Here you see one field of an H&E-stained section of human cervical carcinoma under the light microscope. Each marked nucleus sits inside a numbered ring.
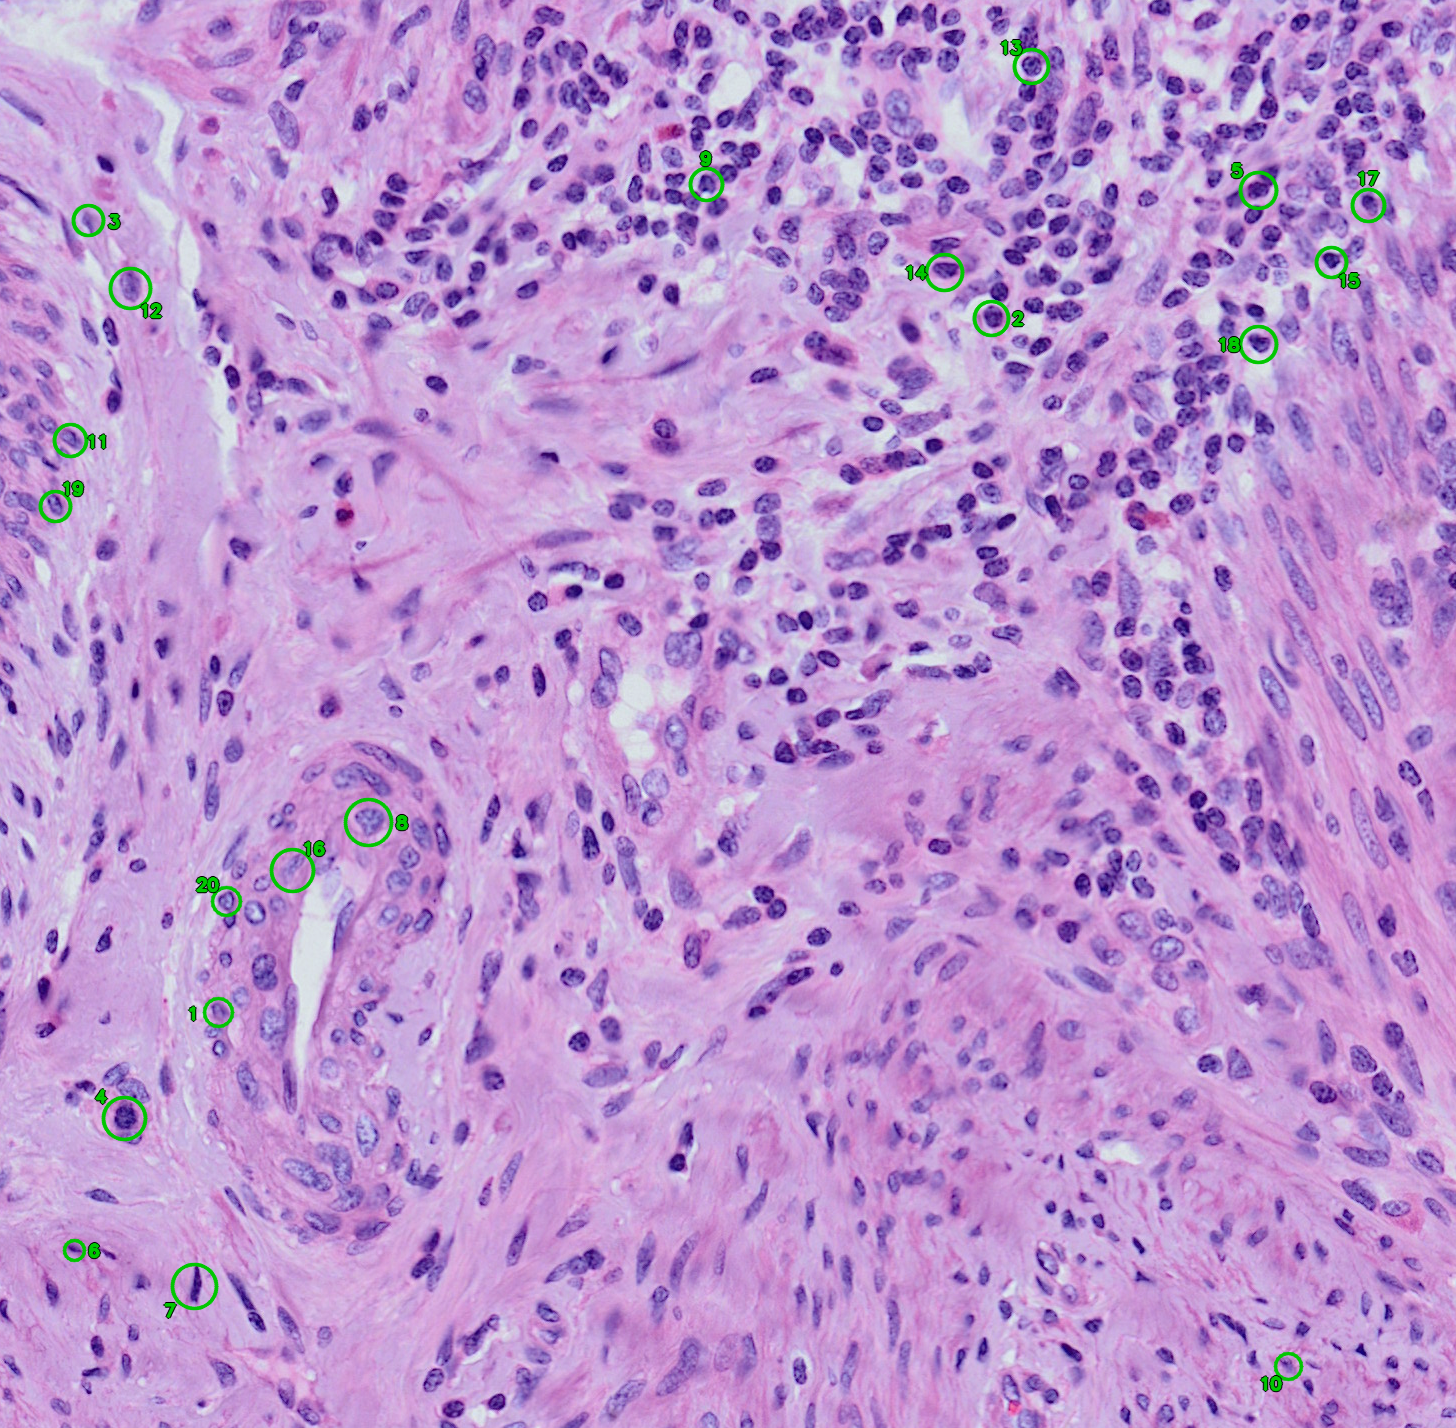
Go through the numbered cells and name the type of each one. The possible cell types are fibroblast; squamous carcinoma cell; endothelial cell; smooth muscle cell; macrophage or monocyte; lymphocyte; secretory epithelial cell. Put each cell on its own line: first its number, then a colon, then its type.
1: smooth muscle cell
2: lymphocyte
3: fibroblast
4: endothelial cell
5: lymphocyte
6: smooth muscle cell
7: fibroblast
8: smooth muscle cell
9: lymphocyte
10: smooth muscle cell
11: smooth muscle cell
12: macrophage or monocyte
13: lymphocyte
14: lymphocyte
15: lymphocyte
16: smooth muscle cell
17: lymphocyte
18: lymphocyte
19: smooth muscle cell
20: smooth muscle cell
